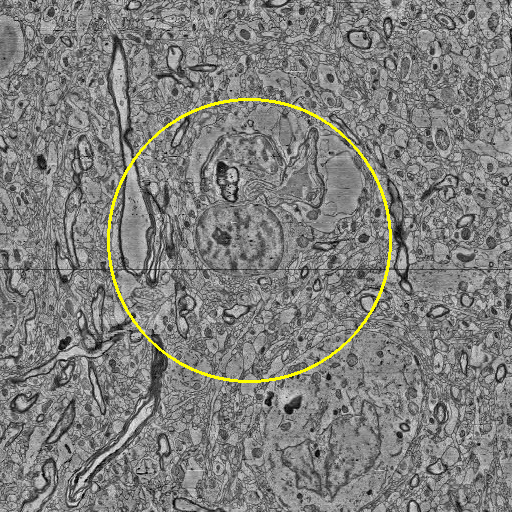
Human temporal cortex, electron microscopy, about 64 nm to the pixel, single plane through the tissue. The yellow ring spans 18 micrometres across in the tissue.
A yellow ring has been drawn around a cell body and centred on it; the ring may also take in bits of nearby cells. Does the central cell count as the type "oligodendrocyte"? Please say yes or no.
yes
